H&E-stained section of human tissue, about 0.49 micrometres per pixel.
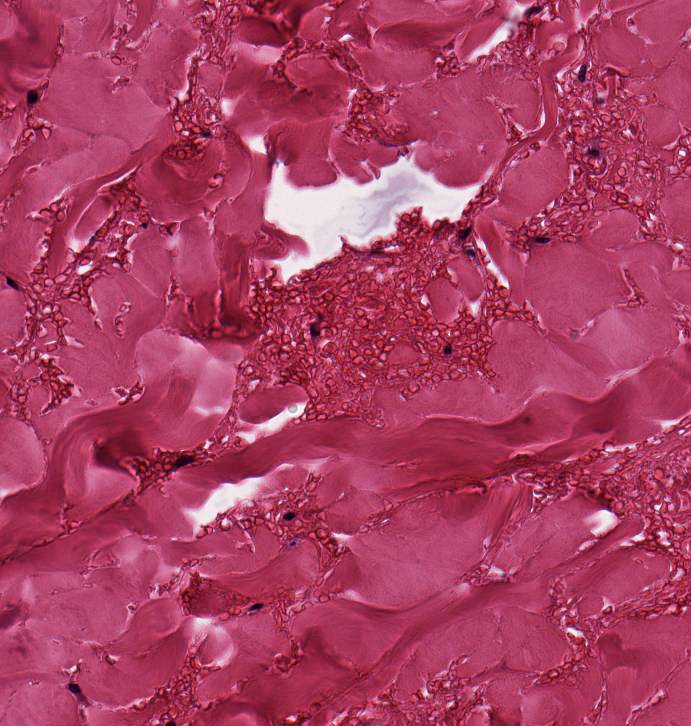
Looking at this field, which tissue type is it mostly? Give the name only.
dermis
